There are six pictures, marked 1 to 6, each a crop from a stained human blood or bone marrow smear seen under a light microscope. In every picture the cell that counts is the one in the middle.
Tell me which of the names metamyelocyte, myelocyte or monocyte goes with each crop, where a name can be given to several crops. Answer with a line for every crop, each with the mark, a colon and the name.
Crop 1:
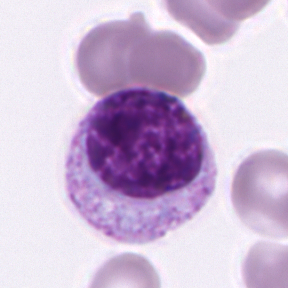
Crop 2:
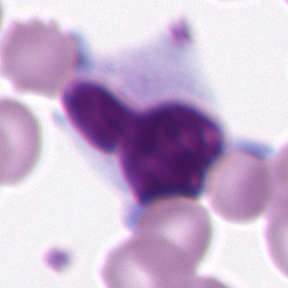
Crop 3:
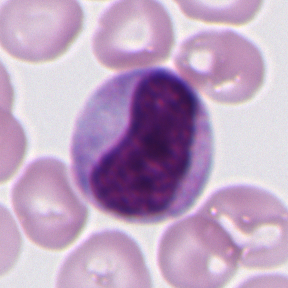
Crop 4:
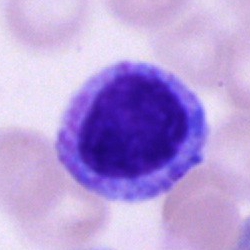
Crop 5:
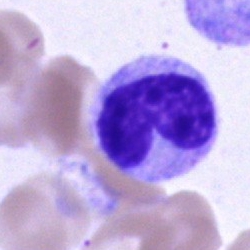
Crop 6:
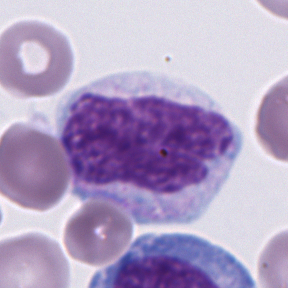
1: myelocyte
2: monocyte
3: metamyelocyte
4: myelocyte
5: metamyelocyte
6: myelocyte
